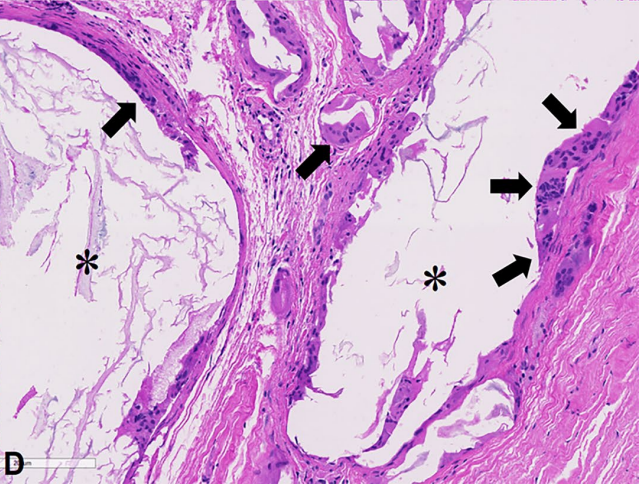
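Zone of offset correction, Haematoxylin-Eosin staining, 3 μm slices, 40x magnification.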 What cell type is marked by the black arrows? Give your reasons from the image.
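Polynuclear giant cells. The arrows point to large cells with clusters of dark nuclei. These cells lie along the walls of large pale spaces.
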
